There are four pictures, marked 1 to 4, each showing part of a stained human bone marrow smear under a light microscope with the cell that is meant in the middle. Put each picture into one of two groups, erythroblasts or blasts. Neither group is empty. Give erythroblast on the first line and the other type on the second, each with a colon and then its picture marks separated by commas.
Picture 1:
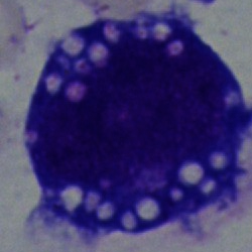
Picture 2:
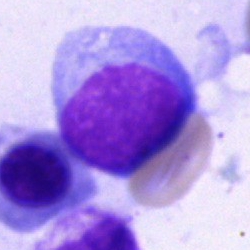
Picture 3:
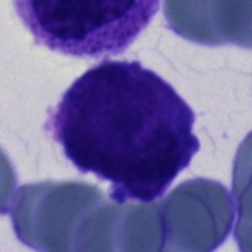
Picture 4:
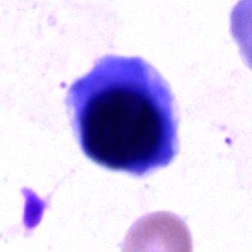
erythroblast: 4
blast: 1, 2, 3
